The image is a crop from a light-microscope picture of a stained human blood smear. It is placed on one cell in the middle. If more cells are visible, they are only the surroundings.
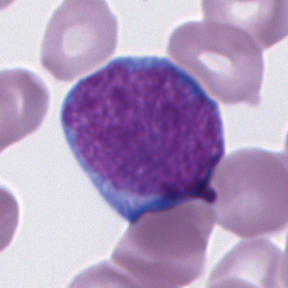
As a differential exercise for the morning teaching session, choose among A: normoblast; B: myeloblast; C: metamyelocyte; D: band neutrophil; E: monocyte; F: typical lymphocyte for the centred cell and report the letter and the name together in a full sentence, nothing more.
Option B is the correct one; it names the central cell as a myeloblast.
